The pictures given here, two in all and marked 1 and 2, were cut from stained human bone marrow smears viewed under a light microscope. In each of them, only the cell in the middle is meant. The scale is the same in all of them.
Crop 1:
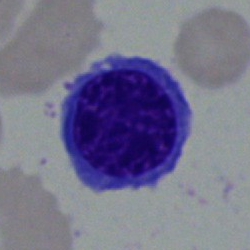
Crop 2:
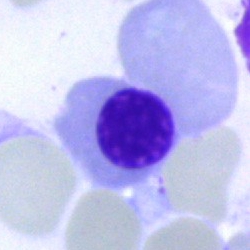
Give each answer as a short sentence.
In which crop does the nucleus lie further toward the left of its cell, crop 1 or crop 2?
In crop 1 the nucleus is shifted more toward the left.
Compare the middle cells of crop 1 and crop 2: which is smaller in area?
Crop 2 holds the smaller cell, since the cell in crop 1 covers about 1.5 times as much area.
